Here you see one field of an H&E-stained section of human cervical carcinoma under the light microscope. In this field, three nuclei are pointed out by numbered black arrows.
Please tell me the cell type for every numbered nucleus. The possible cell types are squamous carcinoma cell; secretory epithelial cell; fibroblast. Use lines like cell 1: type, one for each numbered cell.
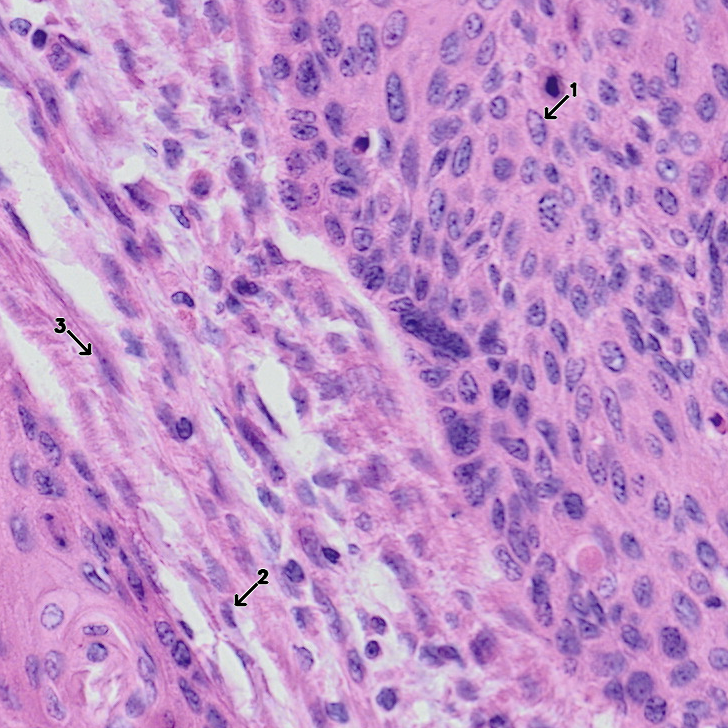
cell 1: squamous carcinoma cell
cell 2: fibroblast
cell 3: fibroblast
